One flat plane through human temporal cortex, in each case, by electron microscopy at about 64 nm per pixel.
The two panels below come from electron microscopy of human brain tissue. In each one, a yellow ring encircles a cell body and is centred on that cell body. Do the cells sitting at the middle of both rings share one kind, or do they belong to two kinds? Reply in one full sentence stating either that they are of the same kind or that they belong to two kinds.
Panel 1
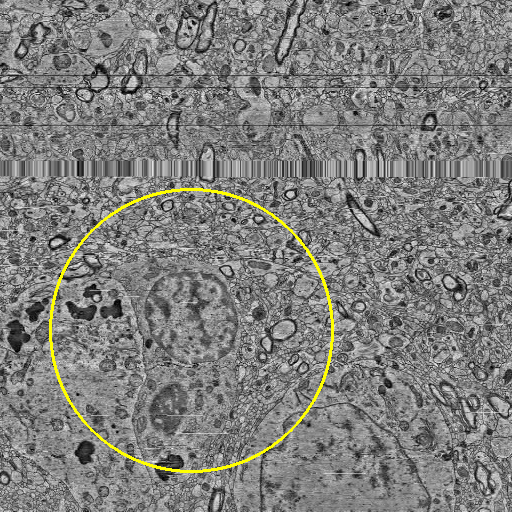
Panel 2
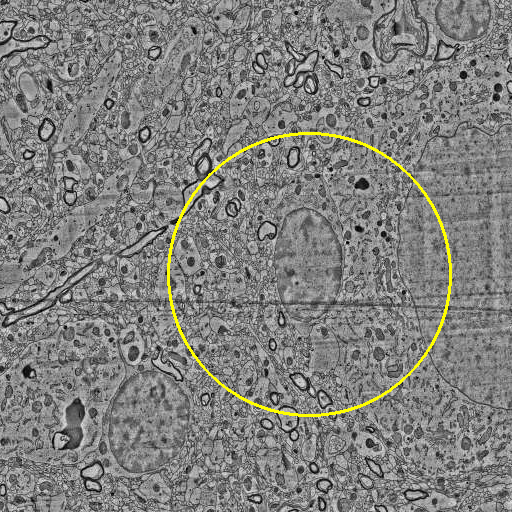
The cells at the centres of the two rings are of the same kind.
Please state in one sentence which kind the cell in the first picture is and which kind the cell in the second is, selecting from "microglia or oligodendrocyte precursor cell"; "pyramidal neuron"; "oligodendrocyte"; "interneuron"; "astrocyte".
In both pictures the ring is centred on an oligodendrocyte.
